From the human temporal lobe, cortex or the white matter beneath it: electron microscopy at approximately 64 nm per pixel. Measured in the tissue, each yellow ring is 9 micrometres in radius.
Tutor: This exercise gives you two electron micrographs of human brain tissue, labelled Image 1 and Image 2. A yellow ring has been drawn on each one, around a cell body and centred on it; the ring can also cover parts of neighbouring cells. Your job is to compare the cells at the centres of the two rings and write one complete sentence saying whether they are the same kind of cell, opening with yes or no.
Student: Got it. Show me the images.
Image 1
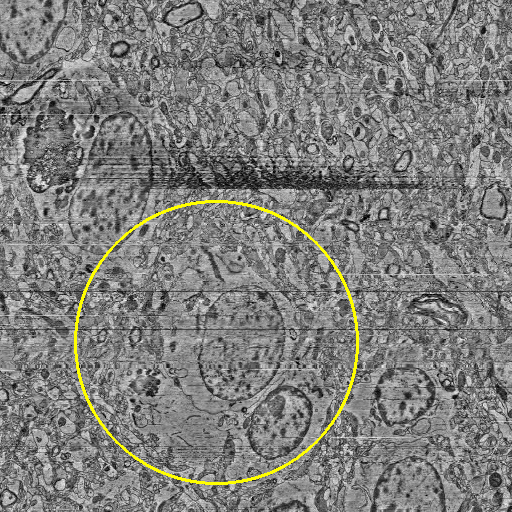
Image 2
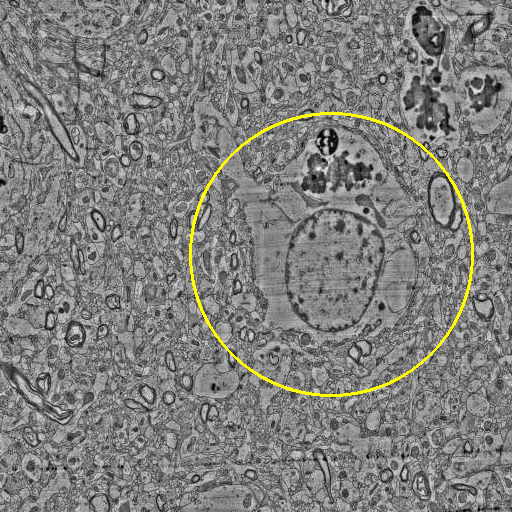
Yes, the two cells belong to the same kind.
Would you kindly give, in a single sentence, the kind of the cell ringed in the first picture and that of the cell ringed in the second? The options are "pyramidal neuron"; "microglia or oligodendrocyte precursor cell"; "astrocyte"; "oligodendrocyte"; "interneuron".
Both the first and the second picture show an astrocyte in the ring.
